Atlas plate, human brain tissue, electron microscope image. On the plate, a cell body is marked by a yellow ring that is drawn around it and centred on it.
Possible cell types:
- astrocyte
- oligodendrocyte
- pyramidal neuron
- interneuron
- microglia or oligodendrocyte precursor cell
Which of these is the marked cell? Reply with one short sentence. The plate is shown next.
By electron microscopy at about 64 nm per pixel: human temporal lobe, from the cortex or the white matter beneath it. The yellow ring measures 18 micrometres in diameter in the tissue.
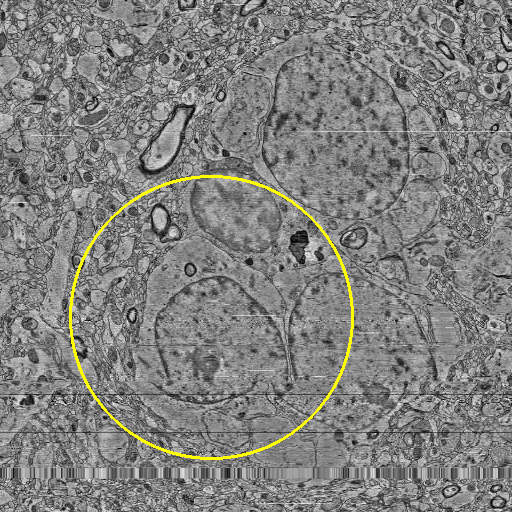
The marked cell is an astrocyte.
